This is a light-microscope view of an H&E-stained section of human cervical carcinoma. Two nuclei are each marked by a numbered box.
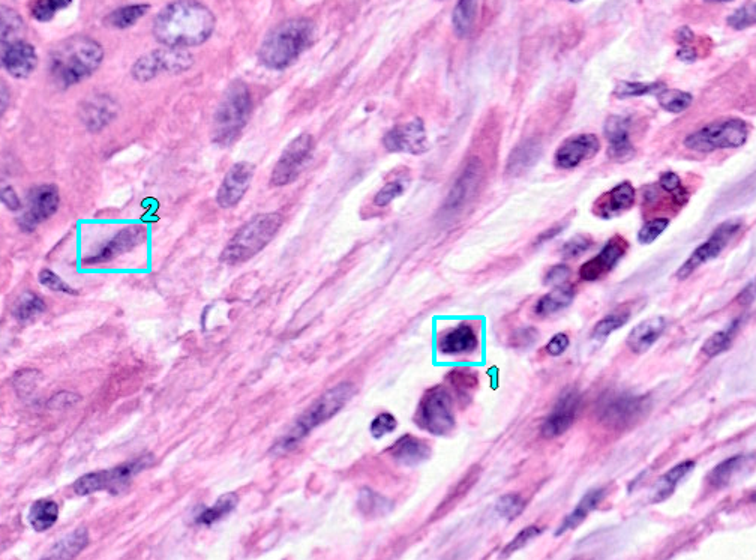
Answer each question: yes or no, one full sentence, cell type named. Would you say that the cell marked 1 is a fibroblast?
No, number 1 identifies a lymphocyte, not a fibroblast.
